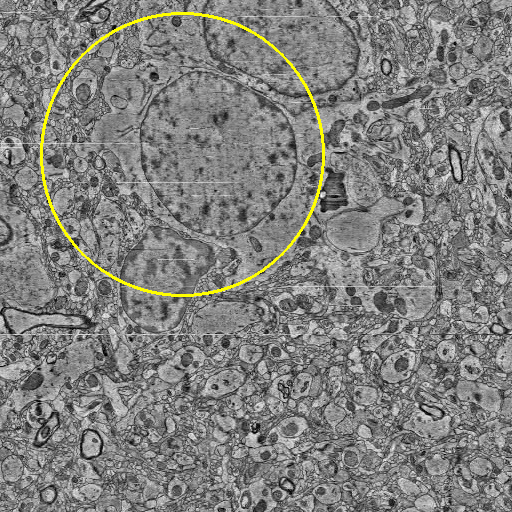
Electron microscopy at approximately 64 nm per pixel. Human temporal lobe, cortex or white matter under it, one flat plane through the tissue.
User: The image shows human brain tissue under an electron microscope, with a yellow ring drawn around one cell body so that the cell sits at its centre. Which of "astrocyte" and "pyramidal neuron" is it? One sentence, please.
At the centre of the ring sits an astrocyte.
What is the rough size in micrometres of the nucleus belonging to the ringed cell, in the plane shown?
In this plane, the nucleus measures approximately 10 micrometres across.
